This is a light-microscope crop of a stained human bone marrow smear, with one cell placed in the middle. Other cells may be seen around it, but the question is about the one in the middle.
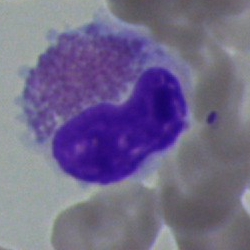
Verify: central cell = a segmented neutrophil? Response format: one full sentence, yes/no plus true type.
No, calling it a segmented neutrophil is wrong; the middle cell is an eosinophil.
